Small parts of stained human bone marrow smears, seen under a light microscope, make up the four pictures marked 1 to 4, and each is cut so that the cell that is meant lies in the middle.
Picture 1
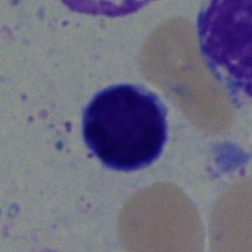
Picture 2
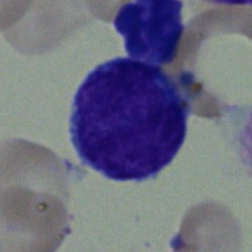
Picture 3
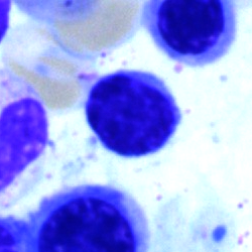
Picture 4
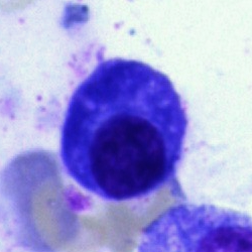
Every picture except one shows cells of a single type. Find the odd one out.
4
